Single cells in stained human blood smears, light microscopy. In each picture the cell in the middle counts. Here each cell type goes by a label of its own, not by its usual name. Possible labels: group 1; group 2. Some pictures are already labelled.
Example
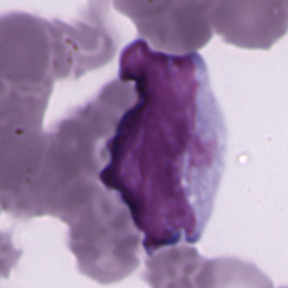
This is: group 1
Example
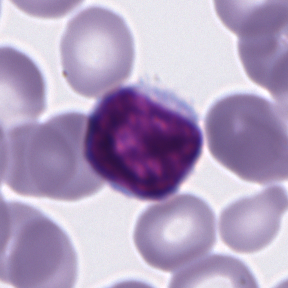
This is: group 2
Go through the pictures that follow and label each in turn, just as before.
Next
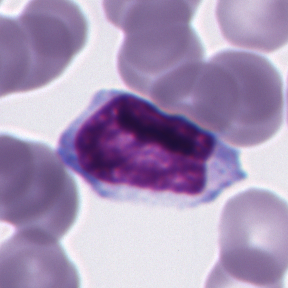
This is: group 2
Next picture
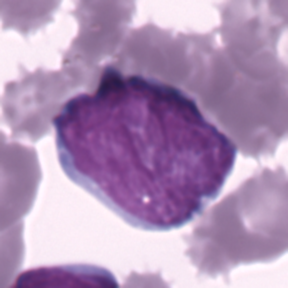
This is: group 1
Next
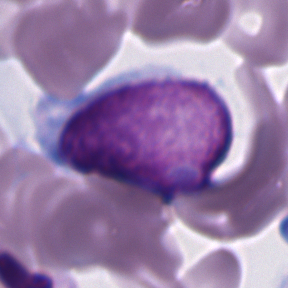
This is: group 1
